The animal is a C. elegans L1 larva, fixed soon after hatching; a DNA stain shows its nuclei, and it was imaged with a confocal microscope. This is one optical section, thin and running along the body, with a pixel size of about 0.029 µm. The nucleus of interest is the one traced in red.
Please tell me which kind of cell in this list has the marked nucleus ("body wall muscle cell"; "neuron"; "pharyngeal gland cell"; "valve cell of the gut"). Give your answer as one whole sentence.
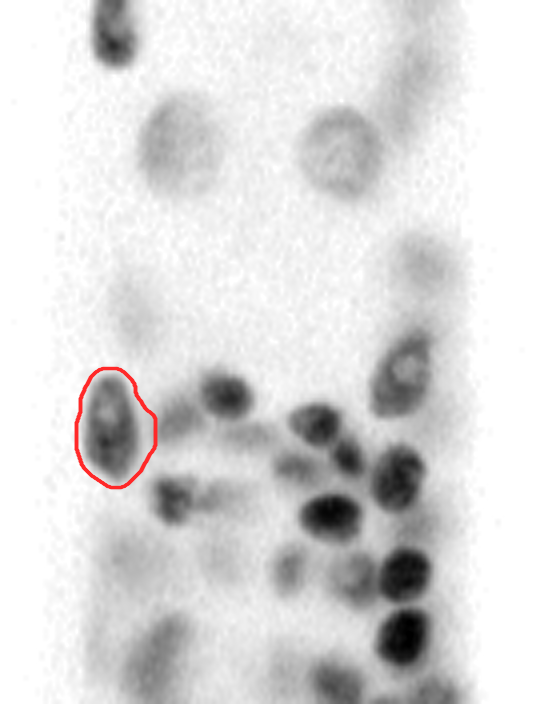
The nucleus comes from a body wall muscle cell.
